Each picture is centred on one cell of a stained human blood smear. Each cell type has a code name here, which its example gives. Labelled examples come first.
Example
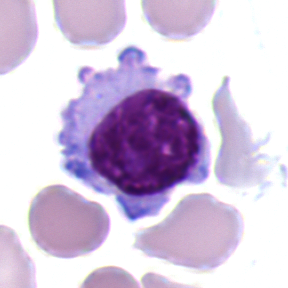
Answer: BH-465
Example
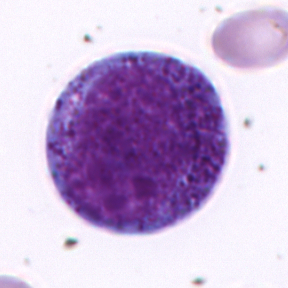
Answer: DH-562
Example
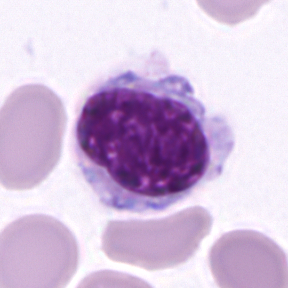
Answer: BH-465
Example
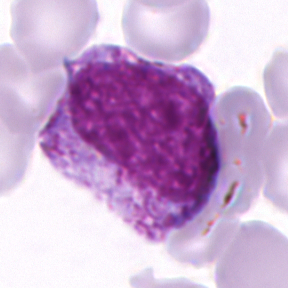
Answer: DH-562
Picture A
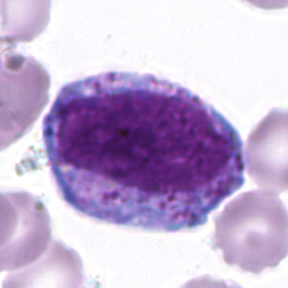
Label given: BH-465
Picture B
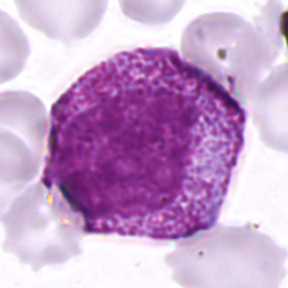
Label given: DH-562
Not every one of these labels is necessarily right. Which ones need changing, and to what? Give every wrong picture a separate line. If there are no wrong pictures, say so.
A: change BH-465 to DH-562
